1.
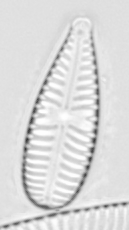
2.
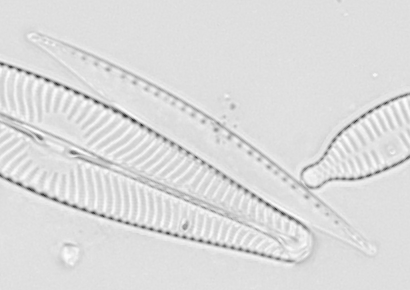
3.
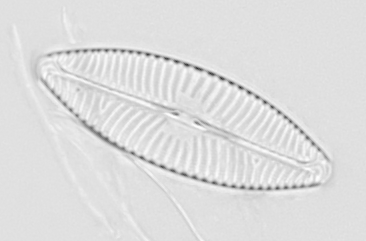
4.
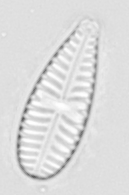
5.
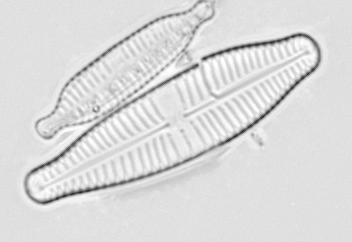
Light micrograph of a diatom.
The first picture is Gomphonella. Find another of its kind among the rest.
Picture 4.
